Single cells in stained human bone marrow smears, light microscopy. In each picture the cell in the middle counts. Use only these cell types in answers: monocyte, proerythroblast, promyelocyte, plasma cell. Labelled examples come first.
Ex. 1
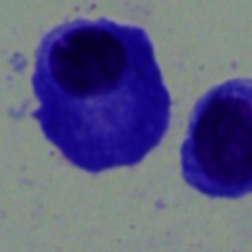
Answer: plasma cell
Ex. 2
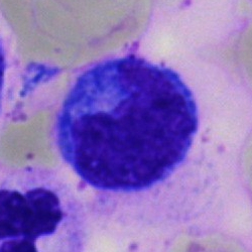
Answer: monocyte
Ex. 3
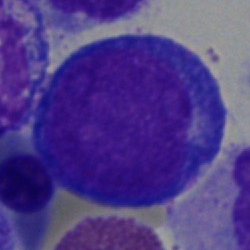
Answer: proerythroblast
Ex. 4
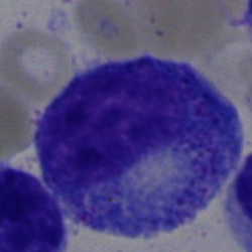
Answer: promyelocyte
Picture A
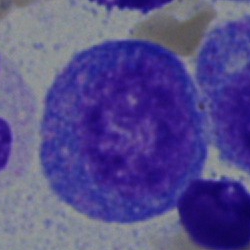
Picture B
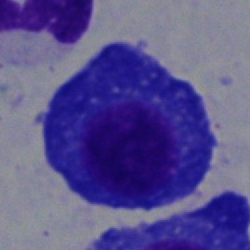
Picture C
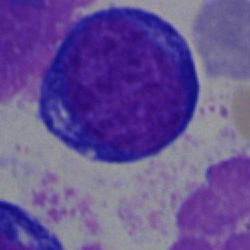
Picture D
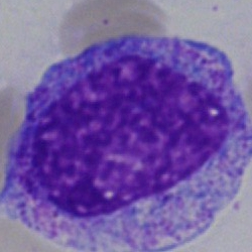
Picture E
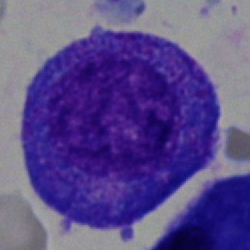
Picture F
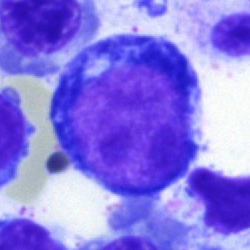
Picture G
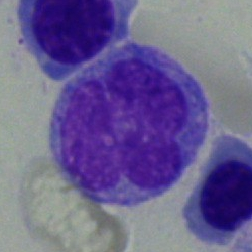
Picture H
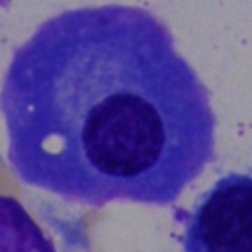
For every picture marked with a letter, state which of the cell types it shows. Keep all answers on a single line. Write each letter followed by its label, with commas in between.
A promyelocyte, B plasma cell, C proerythroblast, D promyelocyte, E promyelocyte, F proerythroblast, G monocyte, H plasma cell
